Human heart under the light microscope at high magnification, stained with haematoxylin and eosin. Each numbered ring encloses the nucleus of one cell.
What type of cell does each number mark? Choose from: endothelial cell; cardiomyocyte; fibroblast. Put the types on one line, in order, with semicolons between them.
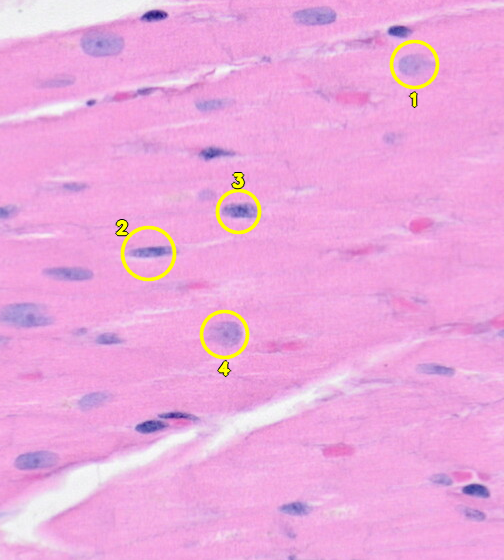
cardiomyocyte; endothelial cell; endothelial cell; cardiomyocyte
